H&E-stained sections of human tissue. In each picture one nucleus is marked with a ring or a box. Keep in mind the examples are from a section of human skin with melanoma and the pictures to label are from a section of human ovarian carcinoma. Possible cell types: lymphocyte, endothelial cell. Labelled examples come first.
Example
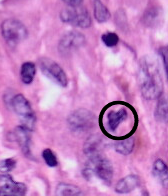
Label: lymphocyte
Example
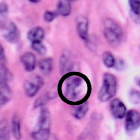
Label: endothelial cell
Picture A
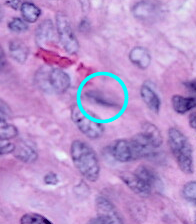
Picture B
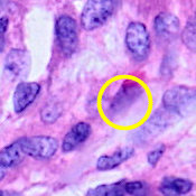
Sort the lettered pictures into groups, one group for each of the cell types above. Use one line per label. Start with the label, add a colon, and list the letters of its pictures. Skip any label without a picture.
endothelial cell: A, B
